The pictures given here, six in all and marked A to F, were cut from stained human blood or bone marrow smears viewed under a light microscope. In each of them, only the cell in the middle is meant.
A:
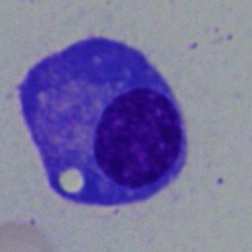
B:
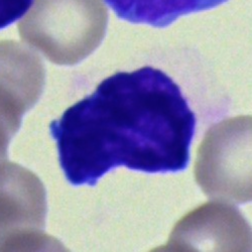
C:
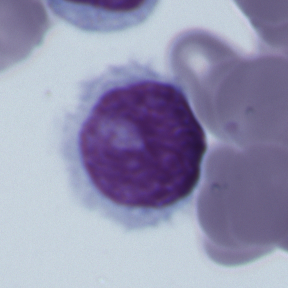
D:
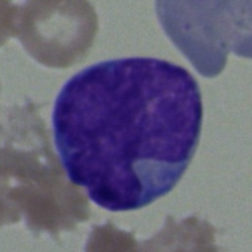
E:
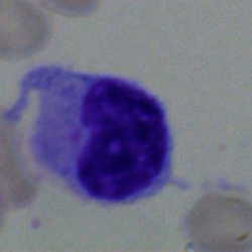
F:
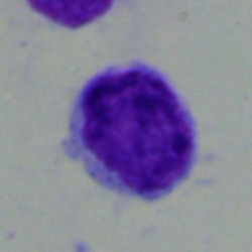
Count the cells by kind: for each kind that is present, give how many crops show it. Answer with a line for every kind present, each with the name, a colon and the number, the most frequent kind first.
hairy cell: 3
blast: 2
plasma cell: 1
